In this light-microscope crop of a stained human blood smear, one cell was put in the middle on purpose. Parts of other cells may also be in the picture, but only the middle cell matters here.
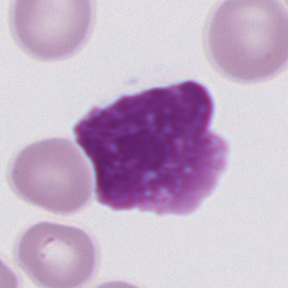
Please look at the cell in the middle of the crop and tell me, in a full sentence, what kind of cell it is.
Classification of the middle cell gives a smudge cell.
